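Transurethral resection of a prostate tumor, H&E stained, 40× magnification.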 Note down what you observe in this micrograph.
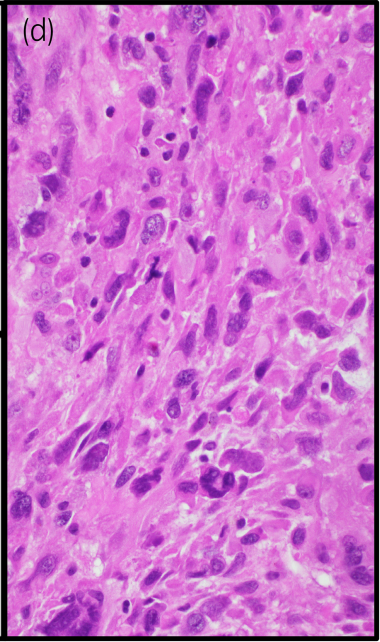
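Sarcomatoid tumour composed of sheets of spindle-shaped and polygonal cells arranged in streaming fascicles, with no glands formed. The nuclei are large, elongated to irregular and hyperchromatic, varying markedly in size, some with visible nucleoli. The cytoplasm is pink and ill-defined.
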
